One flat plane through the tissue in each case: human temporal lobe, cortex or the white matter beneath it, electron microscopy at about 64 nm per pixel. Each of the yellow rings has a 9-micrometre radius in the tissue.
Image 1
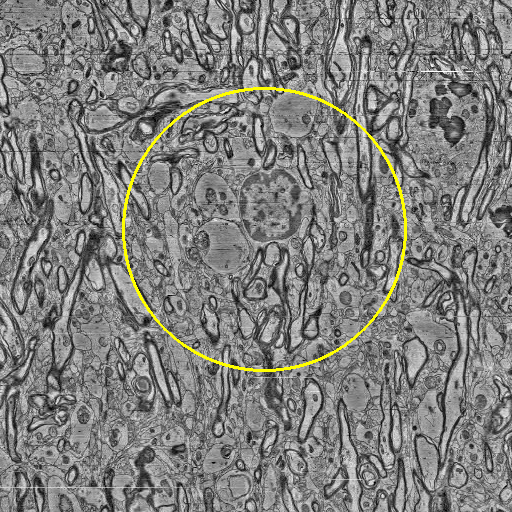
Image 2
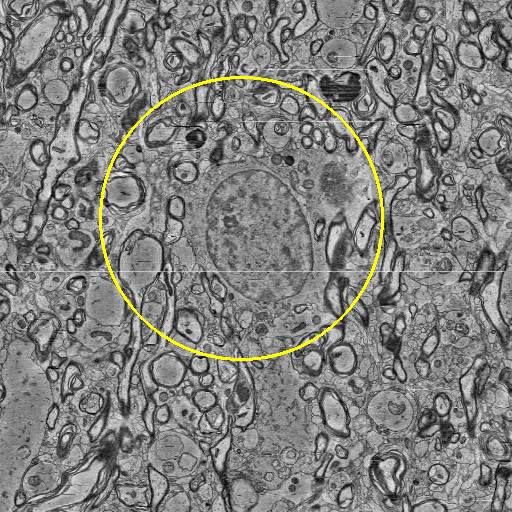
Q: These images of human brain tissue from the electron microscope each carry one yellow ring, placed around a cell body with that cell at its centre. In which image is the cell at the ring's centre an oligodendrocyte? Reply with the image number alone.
2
